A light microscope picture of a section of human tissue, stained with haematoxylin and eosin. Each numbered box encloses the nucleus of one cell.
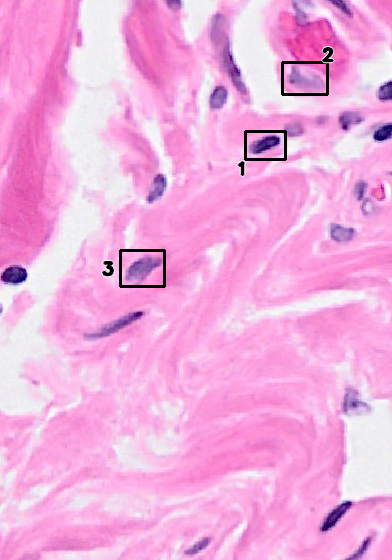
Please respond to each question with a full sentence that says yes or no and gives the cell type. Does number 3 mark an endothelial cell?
No, the cell numbered 3 is a fibroblast rather than an endothelial cell.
